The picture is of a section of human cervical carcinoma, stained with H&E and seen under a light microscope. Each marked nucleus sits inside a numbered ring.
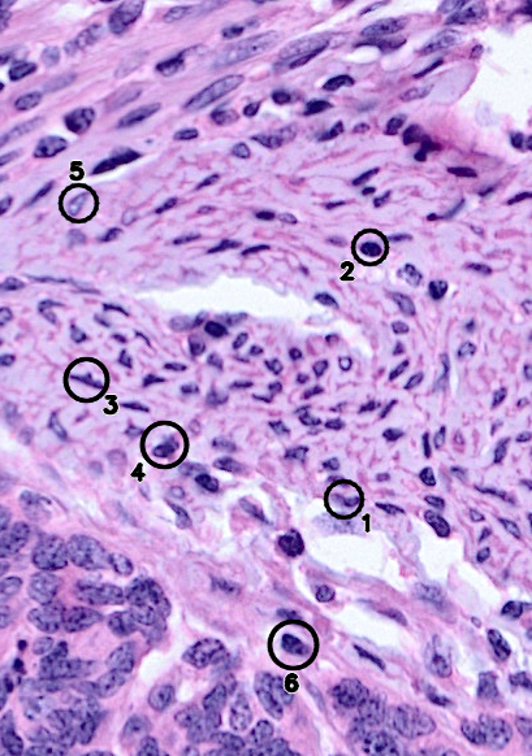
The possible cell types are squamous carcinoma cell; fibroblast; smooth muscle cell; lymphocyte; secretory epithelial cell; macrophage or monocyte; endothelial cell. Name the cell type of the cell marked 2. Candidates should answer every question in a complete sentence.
The cell referred to as 2 is a lymphocyte.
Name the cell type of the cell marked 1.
As for number 1, that cell is a fibroblast.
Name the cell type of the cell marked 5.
The one labeled 5 is a smooth muscle cell, to put it simply.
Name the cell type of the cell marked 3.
The one labeled 3 is a smooth muscle cell, to put it simply.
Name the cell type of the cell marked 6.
Cell 6 in the field of view is a lymphocyte.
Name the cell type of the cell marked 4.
Cell 4 of the marked set is a lymphocyte.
